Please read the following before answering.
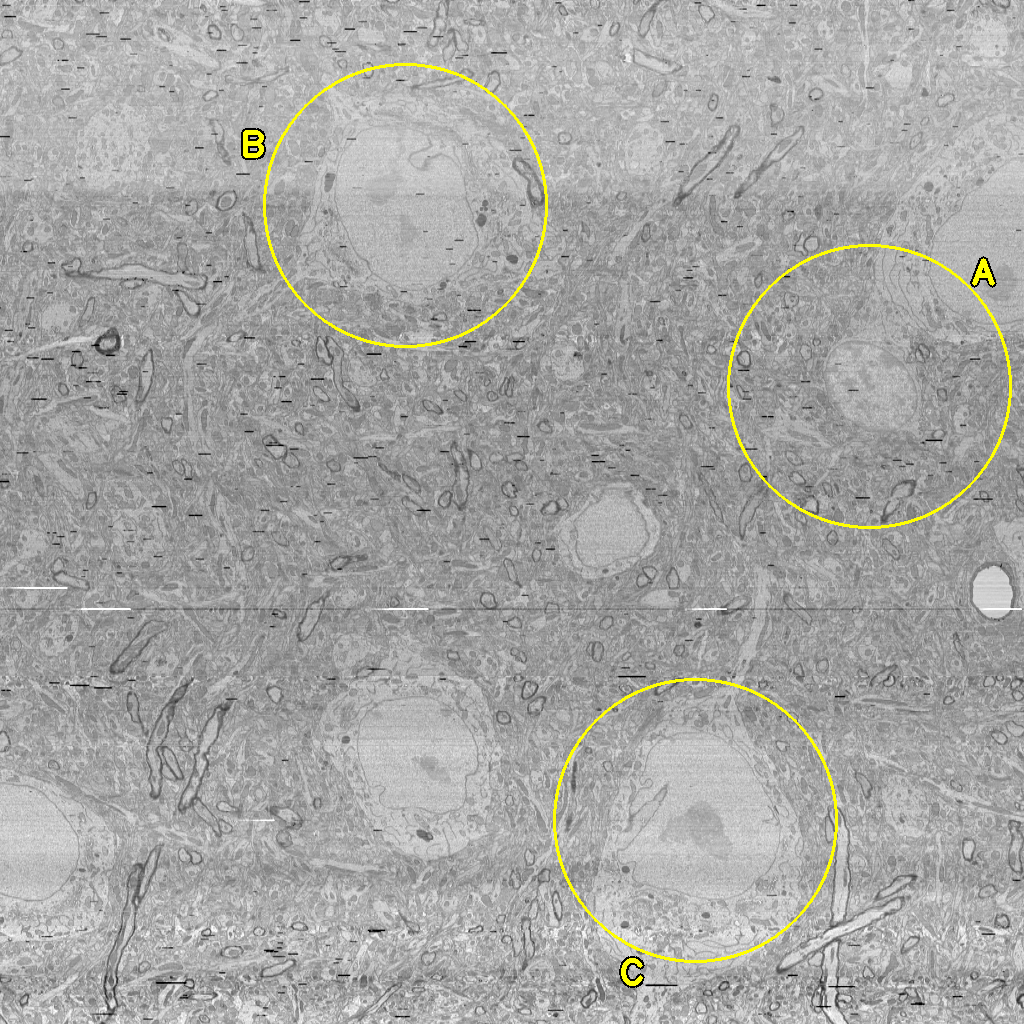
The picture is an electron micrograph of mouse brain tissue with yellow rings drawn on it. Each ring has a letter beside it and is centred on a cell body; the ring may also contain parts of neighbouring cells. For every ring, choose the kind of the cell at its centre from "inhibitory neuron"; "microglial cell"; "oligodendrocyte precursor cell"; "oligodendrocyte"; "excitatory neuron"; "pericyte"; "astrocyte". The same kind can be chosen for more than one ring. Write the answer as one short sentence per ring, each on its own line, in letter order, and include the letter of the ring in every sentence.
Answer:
The kind of cell at the centre of ring A is an oligodendrocyte.
The kind of cell at the centre of ring B is an inhibitory neuron.
The kind of cell at the centre of ring C is an excitatory neuron.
